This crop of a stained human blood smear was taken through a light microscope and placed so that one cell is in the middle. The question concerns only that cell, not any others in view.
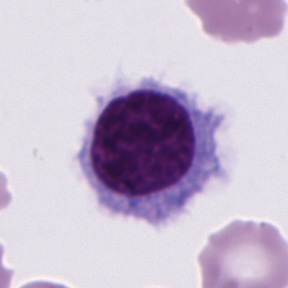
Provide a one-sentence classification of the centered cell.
The cell at the heart of this crop is a hairy cell.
